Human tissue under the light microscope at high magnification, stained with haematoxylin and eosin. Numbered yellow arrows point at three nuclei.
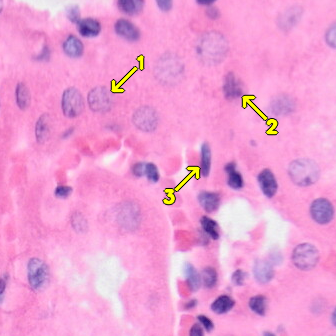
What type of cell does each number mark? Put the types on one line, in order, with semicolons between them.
proximal tubule cell; proximal tubule cell; endothelial cell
